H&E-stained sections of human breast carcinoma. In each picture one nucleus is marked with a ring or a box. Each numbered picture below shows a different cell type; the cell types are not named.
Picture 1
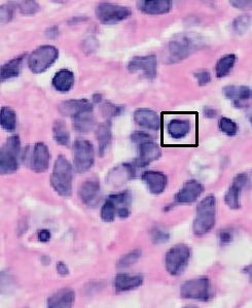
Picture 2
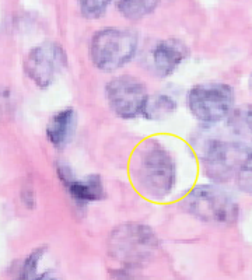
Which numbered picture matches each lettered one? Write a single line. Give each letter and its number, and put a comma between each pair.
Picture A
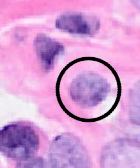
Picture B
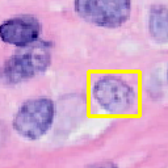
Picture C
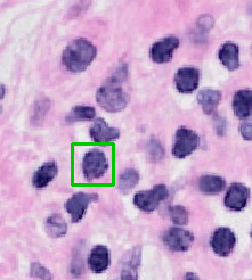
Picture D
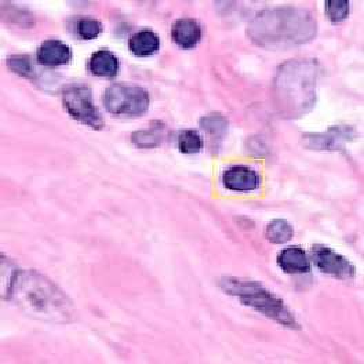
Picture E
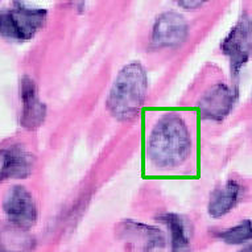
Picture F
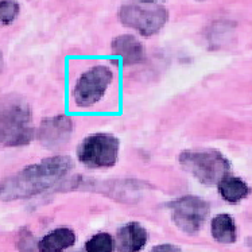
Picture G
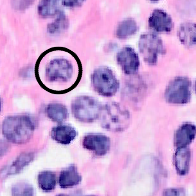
A 2, B 2, C 1, D 1, E 2, F 1, G 1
